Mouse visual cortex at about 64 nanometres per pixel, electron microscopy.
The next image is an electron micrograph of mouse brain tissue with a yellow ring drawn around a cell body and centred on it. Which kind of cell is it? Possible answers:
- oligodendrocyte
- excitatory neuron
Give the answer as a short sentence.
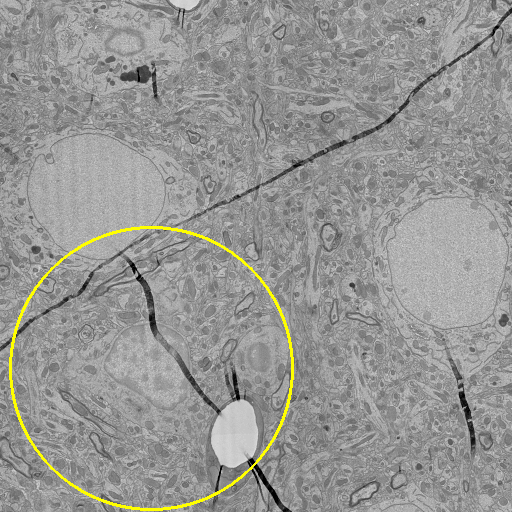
In the ring's centre is an oligodendrocyte.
